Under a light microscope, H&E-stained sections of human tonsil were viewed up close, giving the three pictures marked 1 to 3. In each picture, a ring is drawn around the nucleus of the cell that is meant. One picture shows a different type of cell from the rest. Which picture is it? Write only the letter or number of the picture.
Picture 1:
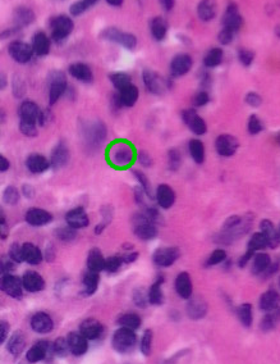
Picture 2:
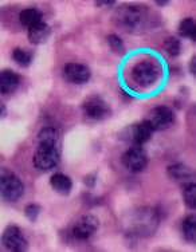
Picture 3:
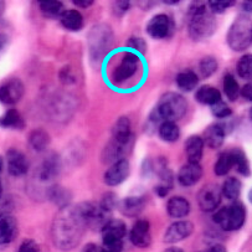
2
